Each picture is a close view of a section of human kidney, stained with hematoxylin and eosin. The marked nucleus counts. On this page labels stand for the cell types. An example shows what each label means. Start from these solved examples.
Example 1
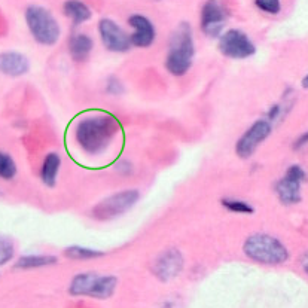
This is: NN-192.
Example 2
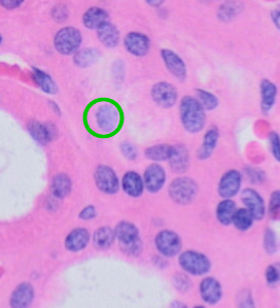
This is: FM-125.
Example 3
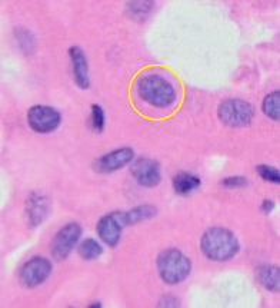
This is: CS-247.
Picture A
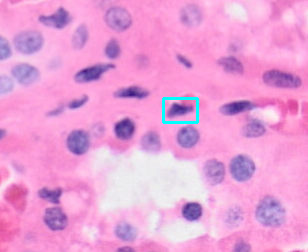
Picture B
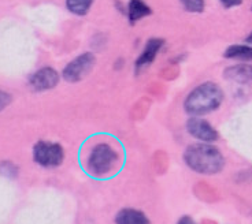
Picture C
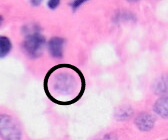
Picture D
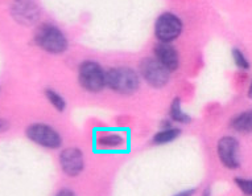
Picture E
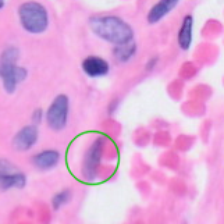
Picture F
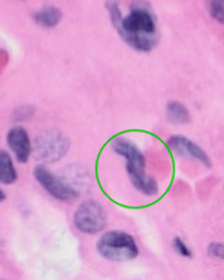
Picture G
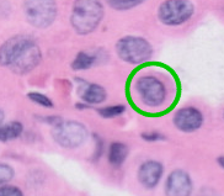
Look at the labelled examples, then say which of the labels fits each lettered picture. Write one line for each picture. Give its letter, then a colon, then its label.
A: NN-192.
B: CS-247.
C: CS-247.
D: NN-192.
E: NN-192.
F: NN-192.
G: CS-247.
